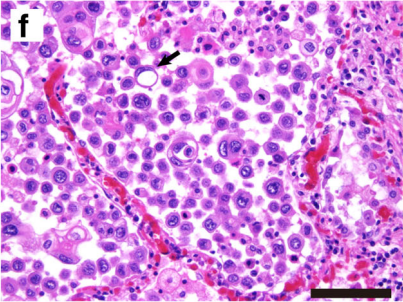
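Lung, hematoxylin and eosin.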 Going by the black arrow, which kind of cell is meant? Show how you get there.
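The arrowed cell holds a clear round vacuole. The nucleus is pushed to the rim of the cell.
Signet-ring cells.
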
